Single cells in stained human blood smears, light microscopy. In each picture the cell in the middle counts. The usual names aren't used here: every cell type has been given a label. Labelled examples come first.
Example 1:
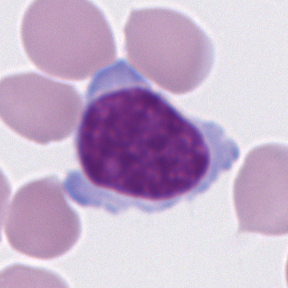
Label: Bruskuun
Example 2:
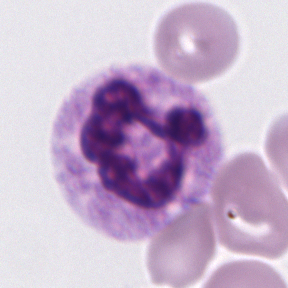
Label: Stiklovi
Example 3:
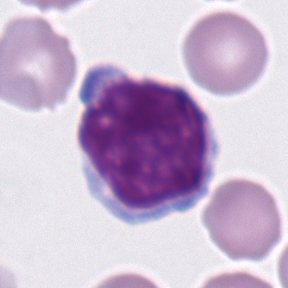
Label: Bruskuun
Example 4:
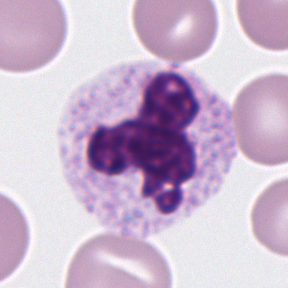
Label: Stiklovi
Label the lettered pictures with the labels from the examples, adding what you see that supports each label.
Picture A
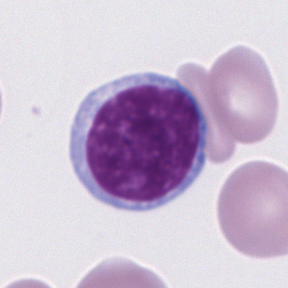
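Bruskuun. The cytoplasm forms a thin rim that is widest on the left side of the nucleus.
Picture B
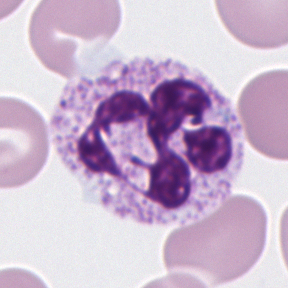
Stiklovi. The cytoplasm is plentiful and pale pinkish-lilac.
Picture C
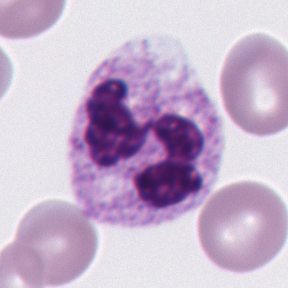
Stiklovi. The nucleus is split into three lobes.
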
